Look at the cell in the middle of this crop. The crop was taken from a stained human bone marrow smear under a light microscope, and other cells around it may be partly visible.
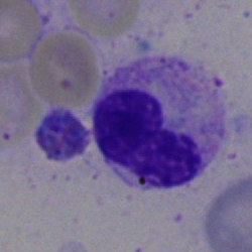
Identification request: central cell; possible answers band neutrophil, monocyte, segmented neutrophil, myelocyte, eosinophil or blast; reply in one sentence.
The cell in the exact centre of the crop is a band neutrophil.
